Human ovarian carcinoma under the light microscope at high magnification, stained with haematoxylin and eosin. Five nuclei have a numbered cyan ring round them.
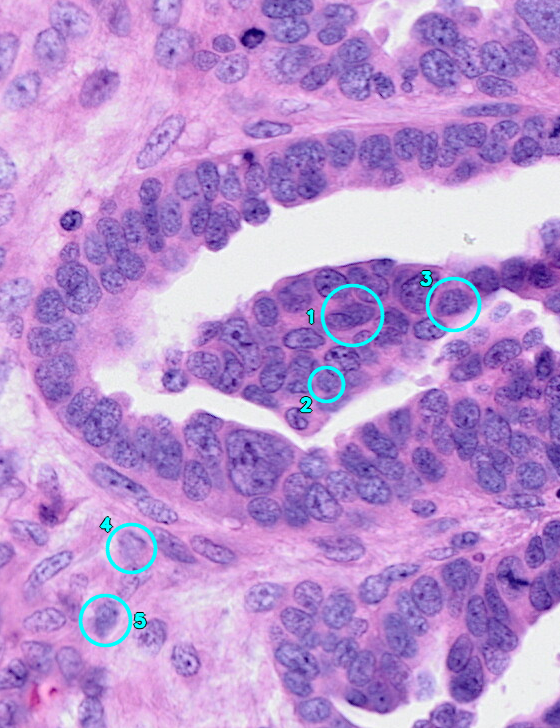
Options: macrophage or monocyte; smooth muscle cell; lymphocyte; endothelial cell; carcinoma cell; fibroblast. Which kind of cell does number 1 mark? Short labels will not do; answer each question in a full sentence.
The cell to which the number 1 is assigned is a carcinoma cell.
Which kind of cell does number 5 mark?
Numbered cell 5 is a fibroblast in this tissue section.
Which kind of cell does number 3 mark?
Looking at the numbered marks, cell 3 is a carcinoma cell.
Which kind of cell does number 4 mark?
The cell that carries the label 4 is a fibroblast.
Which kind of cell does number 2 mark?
The cell assigned the number 2 is a carcinoma cell.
